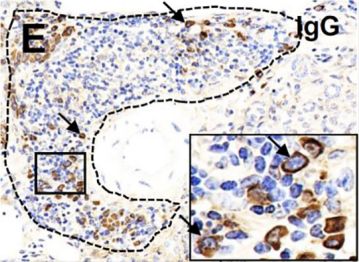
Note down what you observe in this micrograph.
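Vasculature-associated lymphoid tissue around a vessel lumen, outlined by a dashed line, made of small blue-nucleated lymphoid cells. Many scattered cells show dense brown cytoplasm around a round, often eccentric nucleus, gathered especially at the edges of the aggregate.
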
